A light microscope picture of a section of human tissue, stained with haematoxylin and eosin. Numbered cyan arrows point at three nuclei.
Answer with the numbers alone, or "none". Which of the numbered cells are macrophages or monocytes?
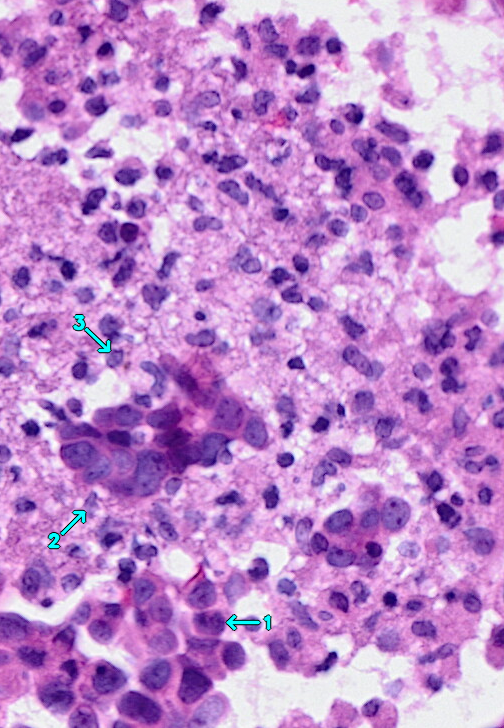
2, 3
